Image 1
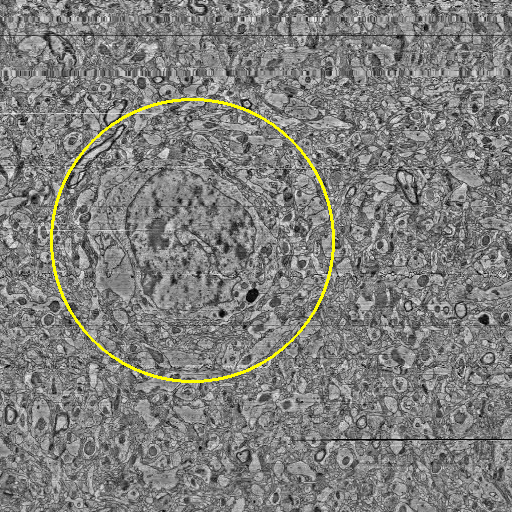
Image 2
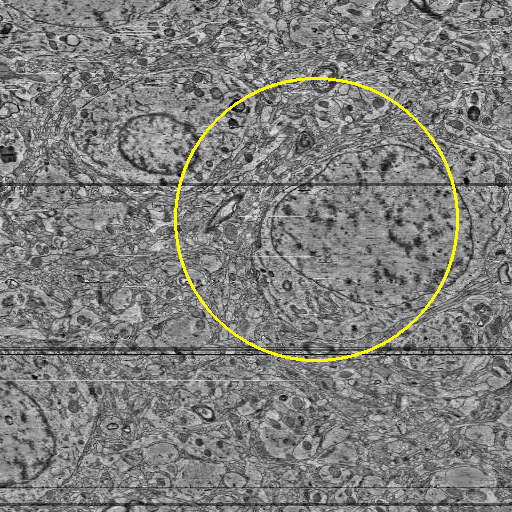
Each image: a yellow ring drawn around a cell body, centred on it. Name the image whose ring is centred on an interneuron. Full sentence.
That is Image 1.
